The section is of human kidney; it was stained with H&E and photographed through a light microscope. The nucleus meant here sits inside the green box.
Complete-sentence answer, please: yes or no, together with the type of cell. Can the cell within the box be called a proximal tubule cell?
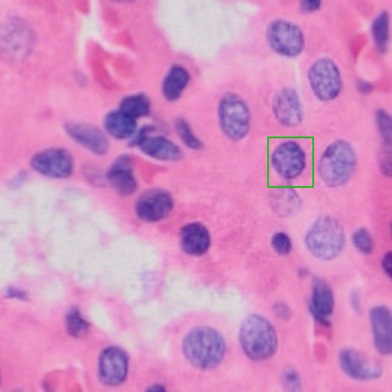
No, the cell within the box is scored as a loop of Henle or distal tubule cell and not as a proximal tubule cell.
